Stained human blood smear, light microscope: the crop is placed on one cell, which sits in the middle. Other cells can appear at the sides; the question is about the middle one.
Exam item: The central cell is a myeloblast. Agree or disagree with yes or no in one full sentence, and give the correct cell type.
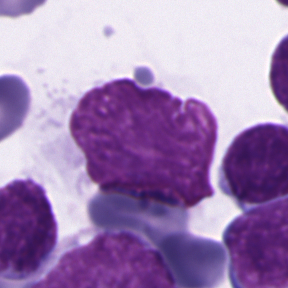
Yes, the cell in the middle has the identity of a myeloblast.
